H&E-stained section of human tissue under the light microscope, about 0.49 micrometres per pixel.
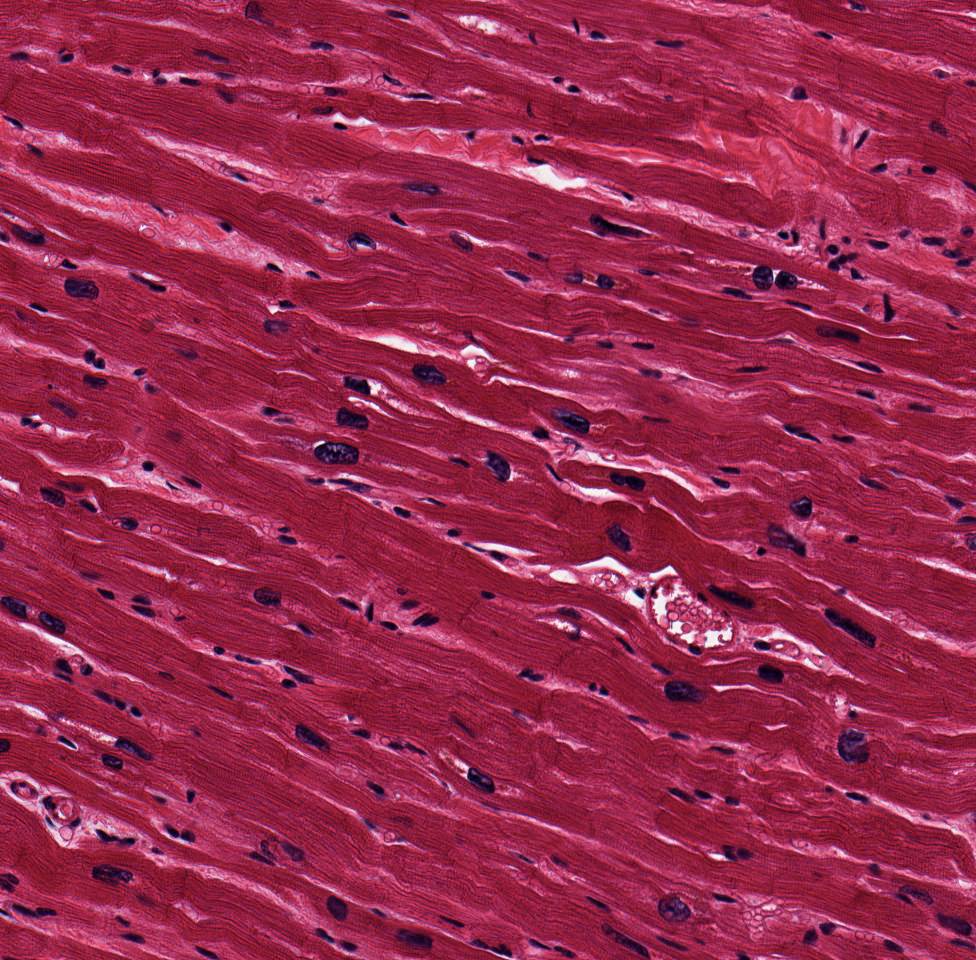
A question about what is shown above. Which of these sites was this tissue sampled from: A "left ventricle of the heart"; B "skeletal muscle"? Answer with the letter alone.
A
